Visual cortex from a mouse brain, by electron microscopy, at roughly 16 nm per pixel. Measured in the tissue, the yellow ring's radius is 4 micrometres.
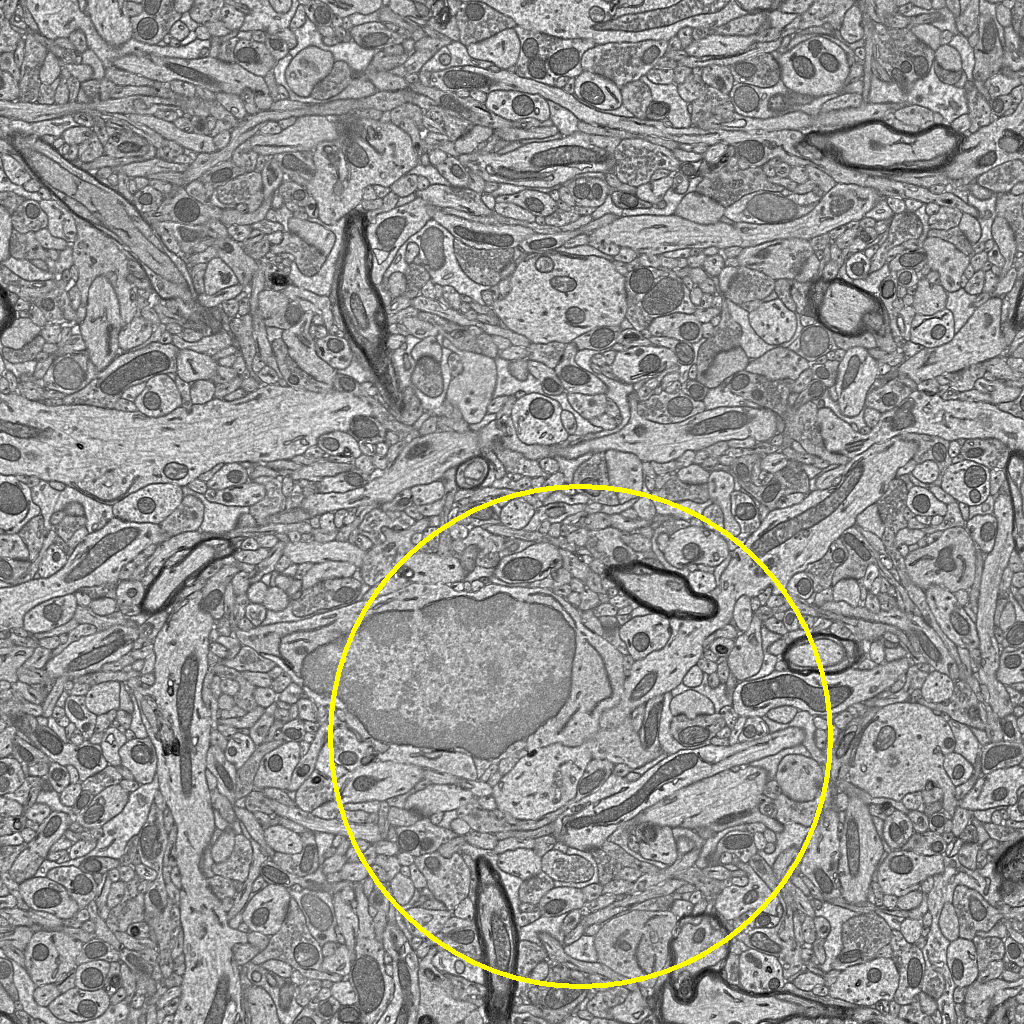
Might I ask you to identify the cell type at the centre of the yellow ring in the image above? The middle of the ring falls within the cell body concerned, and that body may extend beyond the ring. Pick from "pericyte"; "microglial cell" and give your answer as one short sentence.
The centre of the ring falls on a microglial cell.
